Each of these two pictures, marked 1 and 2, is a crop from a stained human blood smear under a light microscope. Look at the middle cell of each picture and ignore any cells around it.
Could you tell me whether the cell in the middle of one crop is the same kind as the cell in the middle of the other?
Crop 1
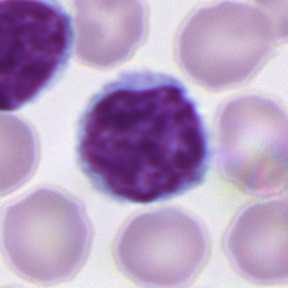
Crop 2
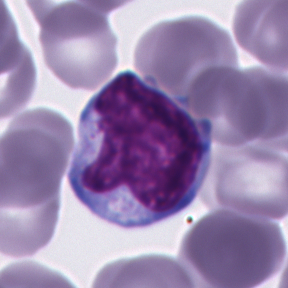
yes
